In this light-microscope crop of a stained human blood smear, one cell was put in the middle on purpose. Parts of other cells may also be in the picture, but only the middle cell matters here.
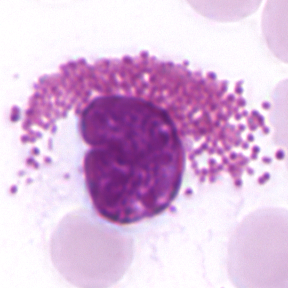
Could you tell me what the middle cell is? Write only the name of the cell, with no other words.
eosinophil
